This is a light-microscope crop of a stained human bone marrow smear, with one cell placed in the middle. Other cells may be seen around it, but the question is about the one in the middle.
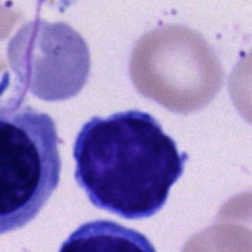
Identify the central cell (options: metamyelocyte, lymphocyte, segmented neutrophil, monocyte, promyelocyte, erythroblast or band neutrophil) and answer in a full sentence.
What the crop centres on is a lymphocyte.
